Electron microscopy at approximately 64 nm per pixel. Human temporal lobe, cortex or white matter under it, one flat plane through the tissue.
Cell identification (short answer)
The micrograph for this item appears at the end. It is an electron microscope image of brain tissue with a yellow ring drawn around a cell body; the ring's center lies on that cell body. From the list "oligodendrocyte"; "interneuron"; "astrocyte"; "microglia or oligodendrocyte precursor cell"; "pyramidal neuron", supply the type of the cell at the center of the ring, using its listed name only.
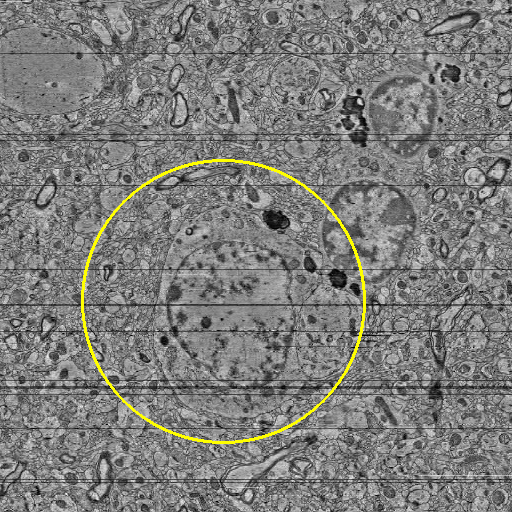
interneuron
